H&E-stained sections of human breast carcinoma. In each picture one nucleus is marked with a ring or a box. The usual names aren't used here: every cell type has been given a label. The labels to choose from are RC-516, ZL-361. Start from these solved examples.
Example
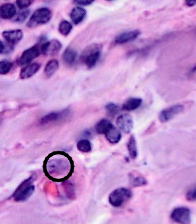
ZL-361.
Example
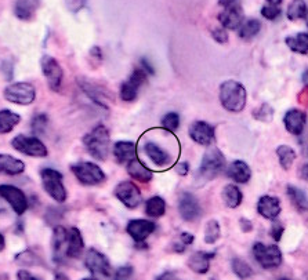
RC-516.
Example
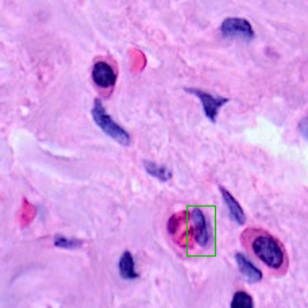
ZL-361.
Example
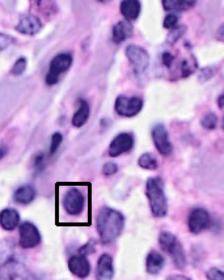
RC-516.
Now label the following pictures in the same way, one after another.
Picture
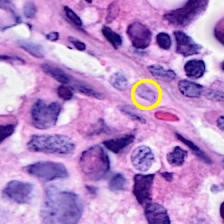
ZL-361.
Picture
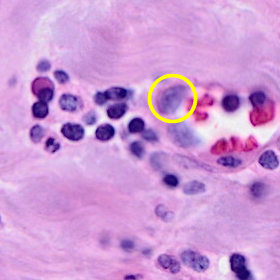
ZL-361.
